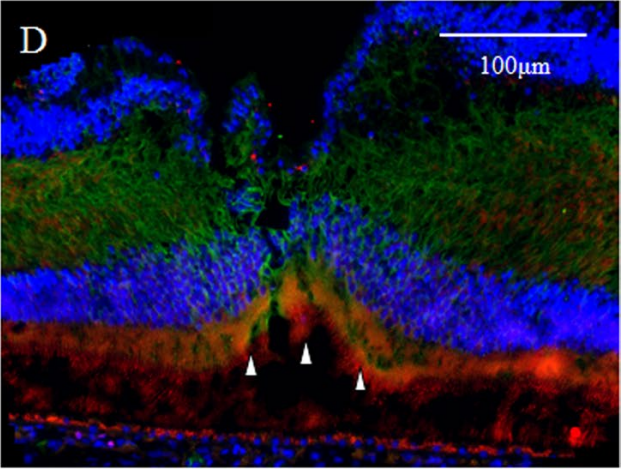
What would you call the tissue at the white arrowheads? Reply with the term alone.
Foveolar photoreceptor layer.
